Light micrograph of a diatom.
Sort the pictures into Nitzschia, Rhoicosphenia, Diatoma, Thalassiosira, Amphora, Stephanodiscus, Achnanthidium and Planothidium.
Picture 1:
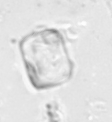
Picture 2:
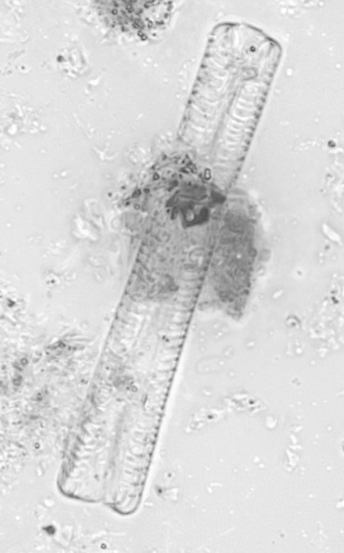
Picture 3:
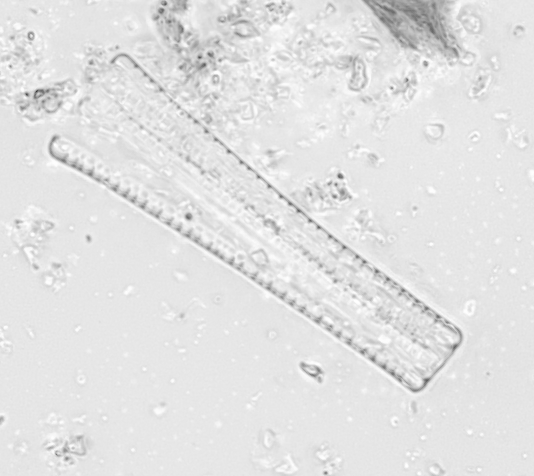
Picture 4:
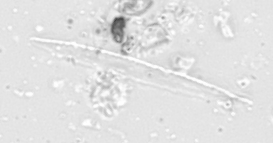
Thalassiosira: 1
Diatoma: 2, 3
Nitzschia: 4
